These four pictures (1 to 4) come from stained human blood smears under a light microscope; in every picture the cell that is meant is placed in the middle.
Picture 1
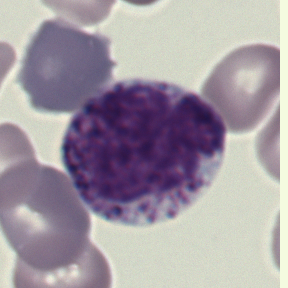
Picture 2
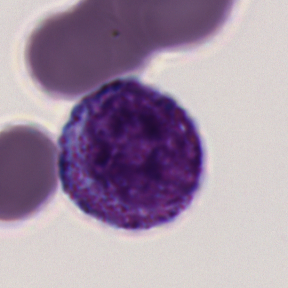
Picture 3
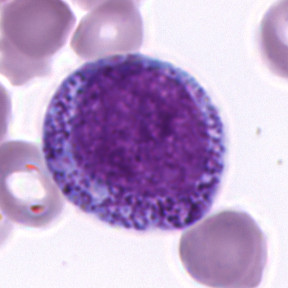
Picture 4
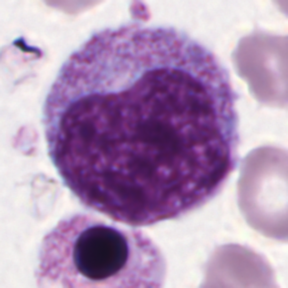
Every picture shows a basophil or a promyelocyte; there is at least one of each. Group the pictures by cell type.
1: basophil
2: promyelocyte
3: promyelocyte
4: promyelocyte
